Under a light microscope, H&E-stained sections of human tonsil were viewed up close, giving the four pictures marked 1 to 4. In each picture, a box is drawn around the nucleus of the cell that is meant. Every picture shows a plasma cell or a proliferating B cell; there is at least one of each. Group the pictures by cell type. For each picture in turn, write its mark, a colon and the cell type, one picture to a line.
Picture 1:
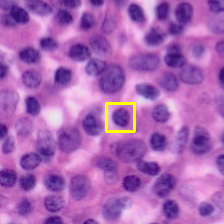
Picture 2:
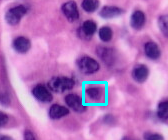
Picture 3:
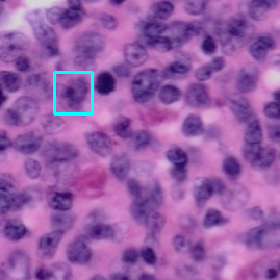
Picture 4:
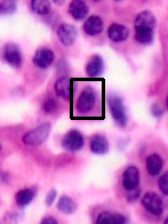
1: plasma cell
2: plasma cell
3: proliferating B cell
4: plasma cell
